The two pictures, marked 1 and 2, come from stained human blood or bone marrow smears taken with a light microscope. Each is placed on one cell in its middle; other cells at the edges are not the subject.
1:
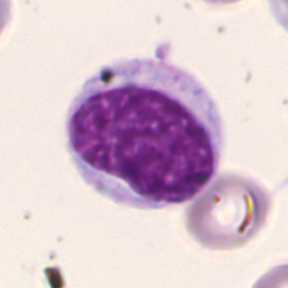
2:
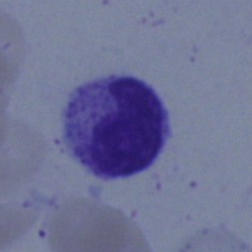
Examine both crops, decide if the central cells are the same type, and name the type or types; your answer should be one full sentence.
Yes, the cells at the centre of the two crops are both metamyelocytes.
